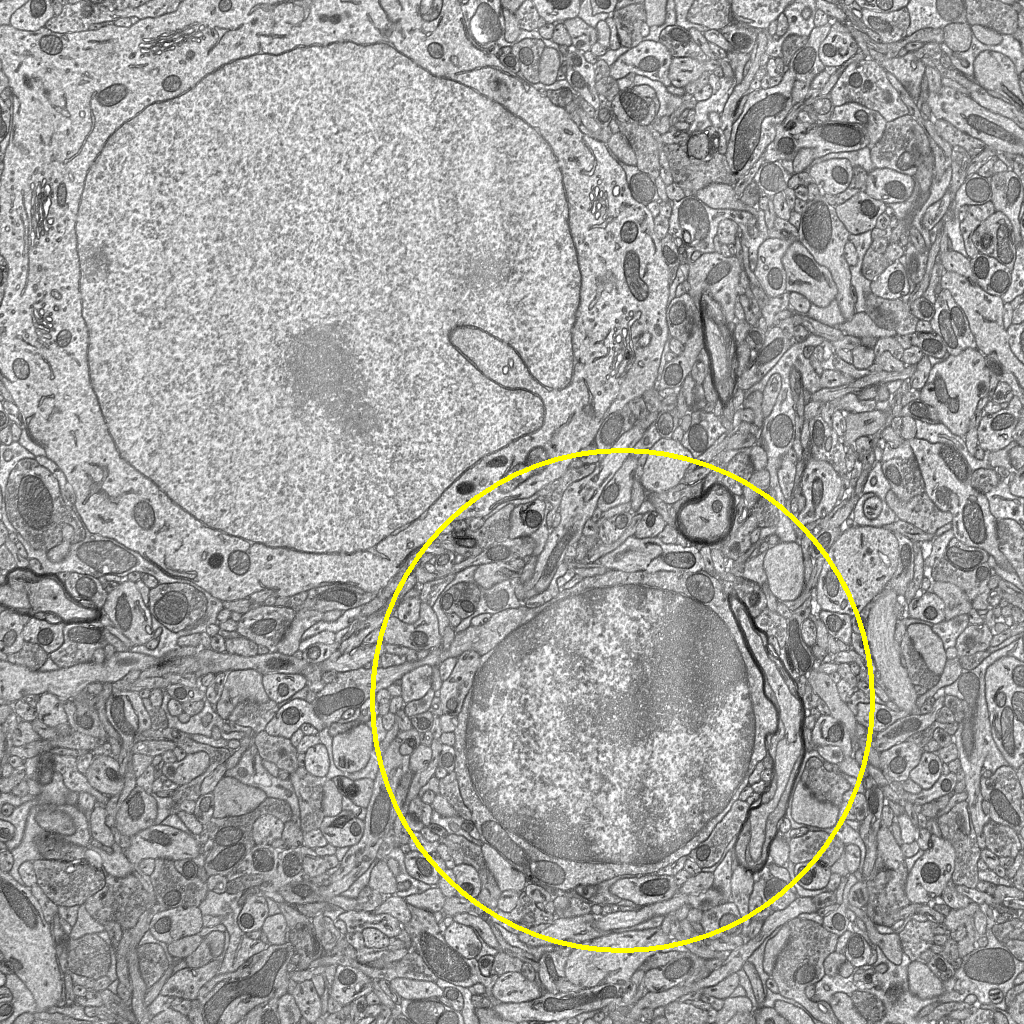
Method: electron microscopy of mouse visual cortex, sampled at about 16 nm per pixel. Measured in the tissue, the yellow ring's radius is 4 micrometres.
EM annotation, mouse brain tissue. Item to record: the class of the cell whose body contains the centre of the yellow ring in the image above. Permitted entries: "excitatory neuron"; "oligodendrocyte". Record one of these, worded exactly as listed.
oligodendrocyte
